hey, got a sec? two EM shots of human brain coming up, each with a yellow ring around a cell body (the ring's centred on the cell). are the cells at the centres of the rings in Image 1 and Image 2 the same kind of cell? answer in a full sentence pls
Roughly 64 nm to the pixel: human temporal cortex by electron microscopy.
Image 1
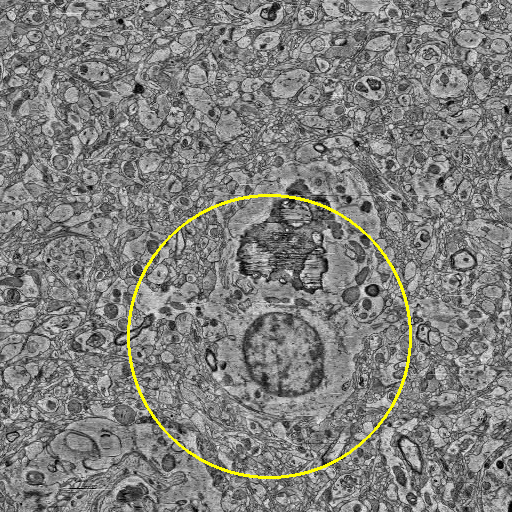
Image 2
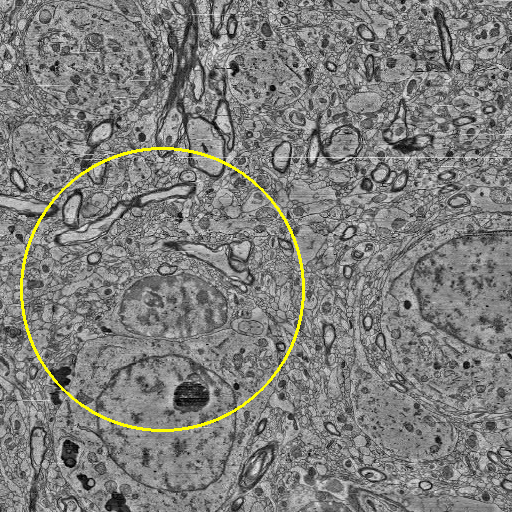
No, they are two kinds of cell.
